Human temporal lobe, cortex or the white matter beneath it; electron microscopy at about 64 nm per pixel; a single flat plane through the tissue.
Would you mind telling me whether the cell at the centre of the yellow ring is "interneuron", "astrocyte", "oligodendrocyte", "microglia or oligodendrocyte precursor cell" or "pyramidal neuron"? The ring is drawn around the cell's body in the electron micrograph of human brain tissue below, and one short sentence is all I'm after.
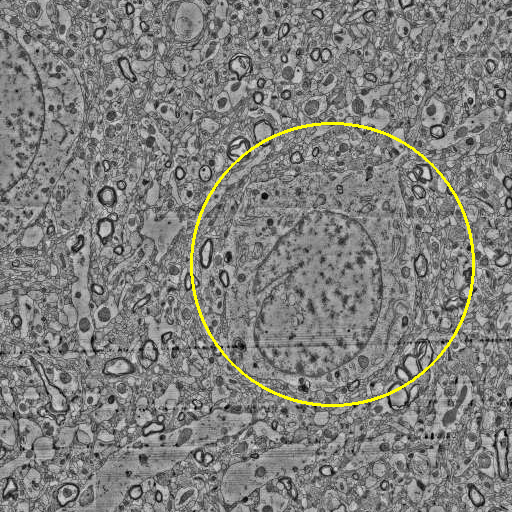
In the centre of the ring lies an interneuron.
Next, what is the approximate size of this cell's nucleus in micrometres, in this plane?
The nucleus comes to roughly 11 by 8 micrometres in this plane.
